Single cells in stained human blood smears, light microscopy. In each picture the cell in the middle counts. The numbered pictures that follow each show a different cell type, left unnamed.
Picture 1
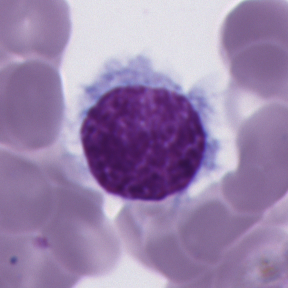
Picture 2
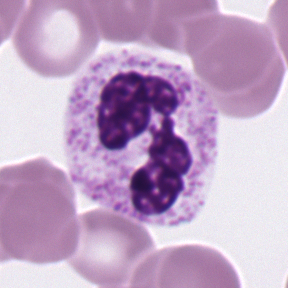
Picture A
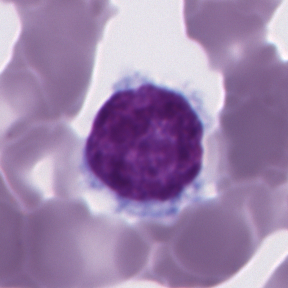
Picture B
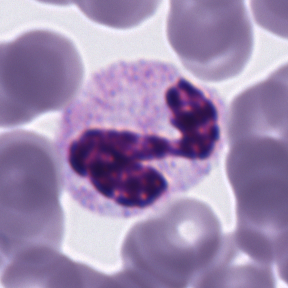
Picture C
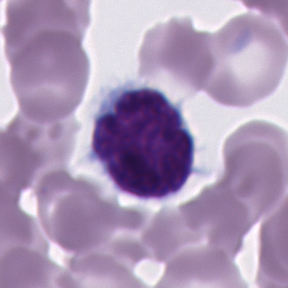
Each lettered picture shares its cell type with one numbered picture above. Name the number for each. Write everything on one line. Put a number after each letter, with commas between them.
A 1, B 2, C 1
